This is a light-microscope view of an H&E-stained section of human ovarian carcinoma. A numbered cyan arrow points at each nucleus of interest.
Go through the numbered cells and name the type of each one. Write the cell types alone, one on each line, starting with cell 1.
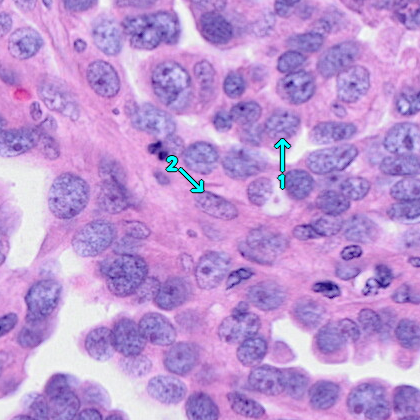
carcinoma cell
fibroblast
